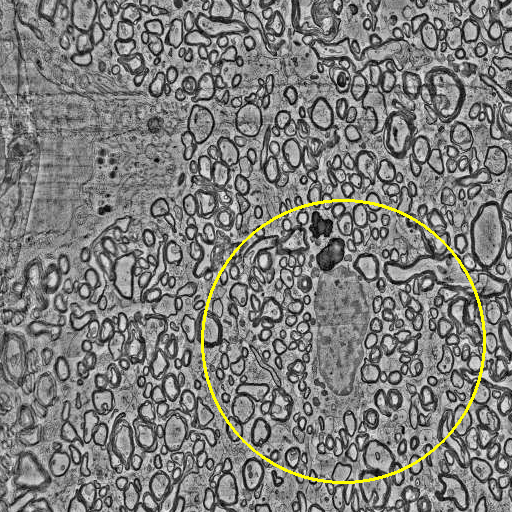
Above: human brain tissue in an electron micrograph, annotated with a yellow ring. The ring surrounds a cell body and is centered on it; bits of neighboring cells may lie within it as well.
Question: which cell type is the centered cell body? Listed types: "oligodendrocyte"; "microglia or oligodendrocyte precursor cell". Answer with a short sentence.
The centered cell body is an oligodendrocyte.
